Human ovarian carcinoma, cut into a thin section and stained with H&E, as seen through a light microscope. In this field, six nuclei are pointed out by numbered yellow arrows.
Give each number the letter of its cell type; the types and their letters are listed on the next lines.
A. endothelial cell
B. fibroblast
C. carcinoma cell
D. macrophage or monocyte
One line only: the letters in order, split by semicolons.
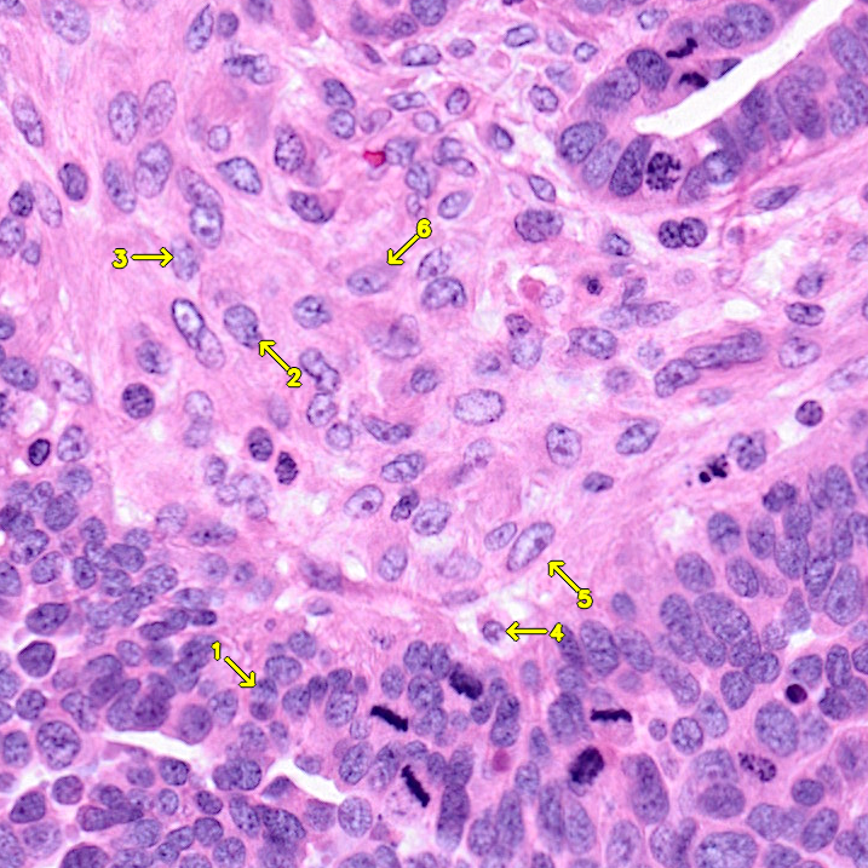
C; B; B; D; B; B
